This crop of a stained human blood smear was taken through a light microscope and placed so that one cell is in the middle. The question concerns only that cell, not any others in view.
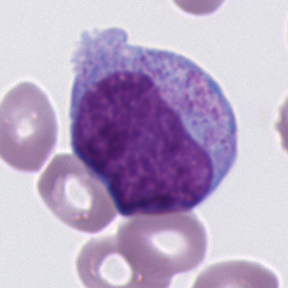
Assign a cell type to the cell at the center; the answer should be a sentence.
Whatever else lies nearby, the middle cell is an atypical promyelocyte.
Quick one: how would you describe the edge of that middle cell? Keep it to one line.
The cytoplasmic margin is uneven, whether through ragged segments or through projections.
